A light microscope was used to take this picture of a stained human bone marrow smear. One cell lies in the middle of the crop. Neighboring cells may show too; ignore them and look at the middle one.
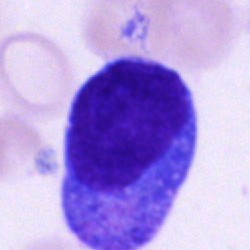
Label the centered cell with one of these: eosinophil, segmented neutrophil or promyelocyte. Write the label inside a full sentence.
In the centre of this crop there is a promyelocyte.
